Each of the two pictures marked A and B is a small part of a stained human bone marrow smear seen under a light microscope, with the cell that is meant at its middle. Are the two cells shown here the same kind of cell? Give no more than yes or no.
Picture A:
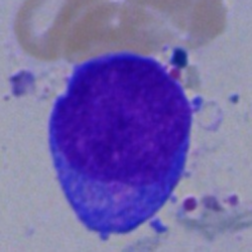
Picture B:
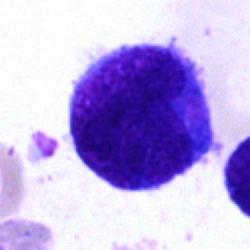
yes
